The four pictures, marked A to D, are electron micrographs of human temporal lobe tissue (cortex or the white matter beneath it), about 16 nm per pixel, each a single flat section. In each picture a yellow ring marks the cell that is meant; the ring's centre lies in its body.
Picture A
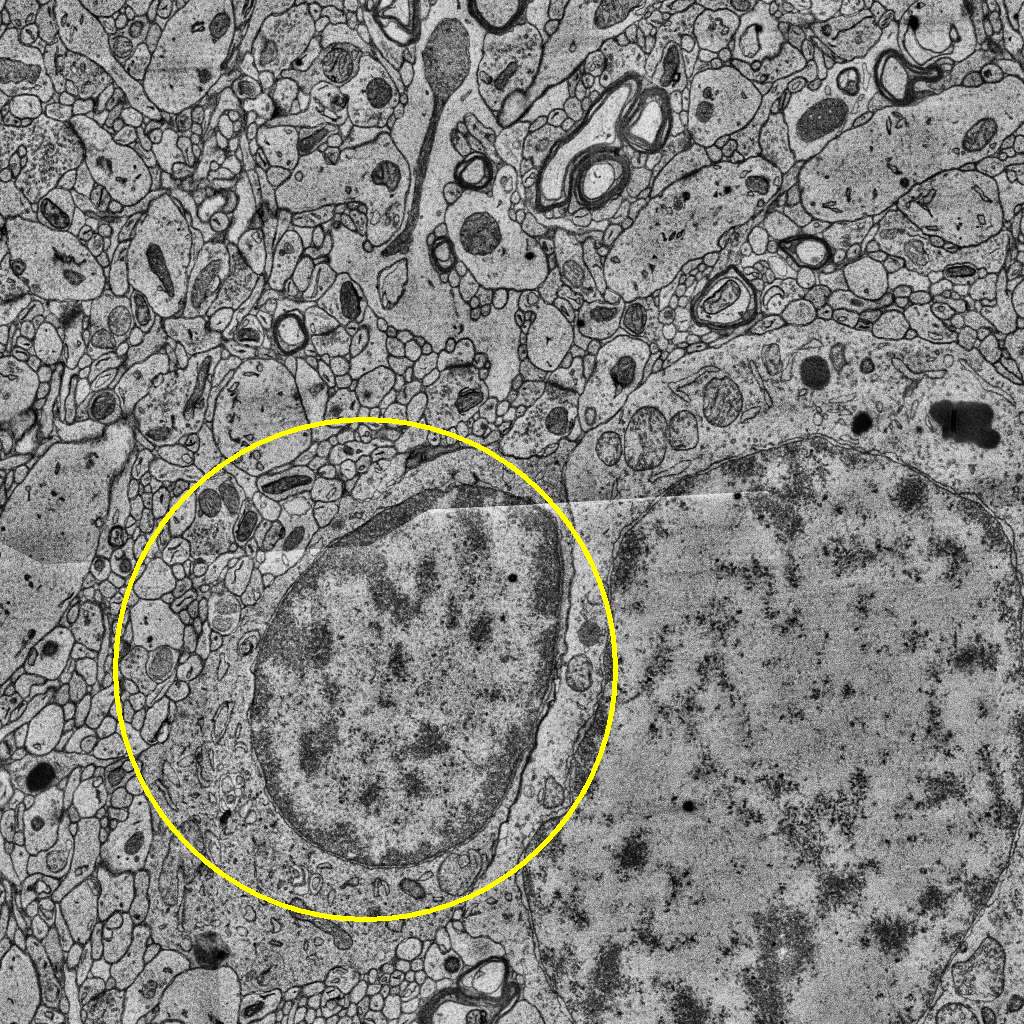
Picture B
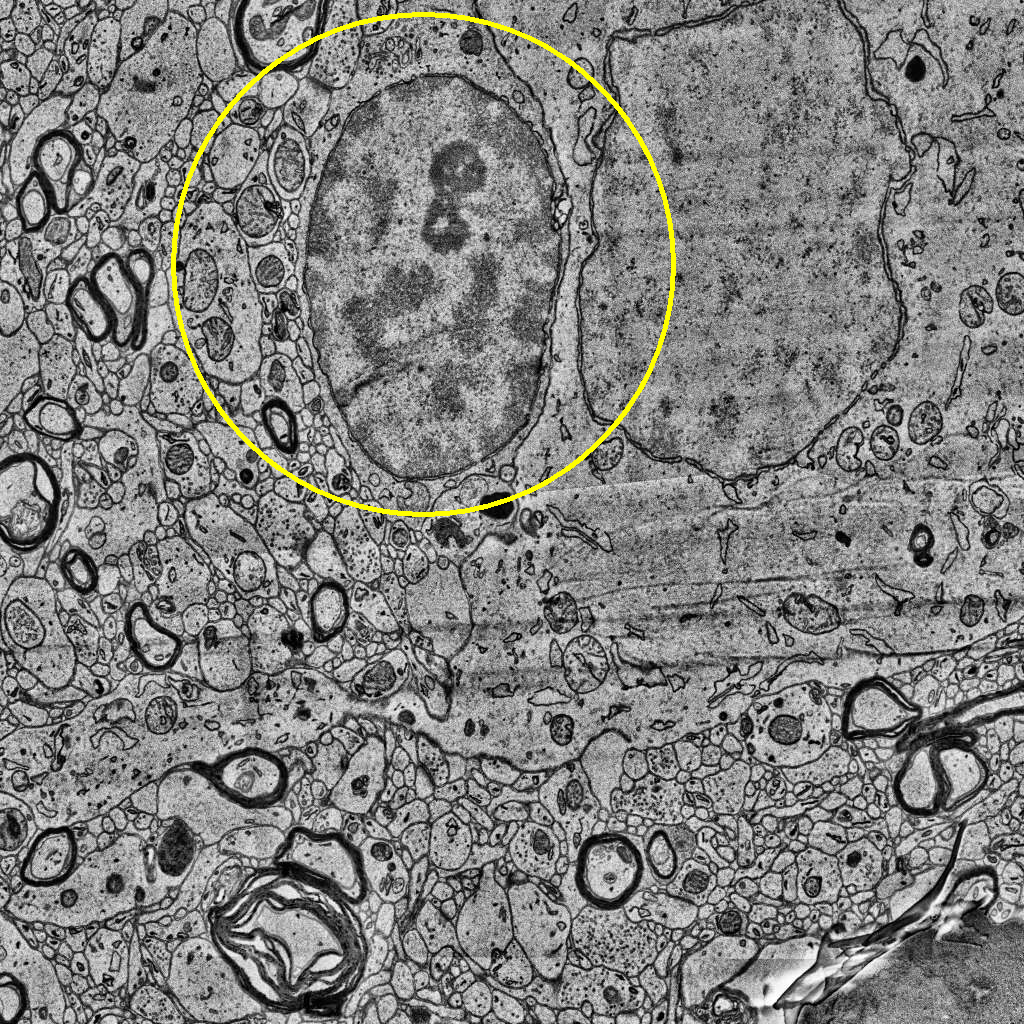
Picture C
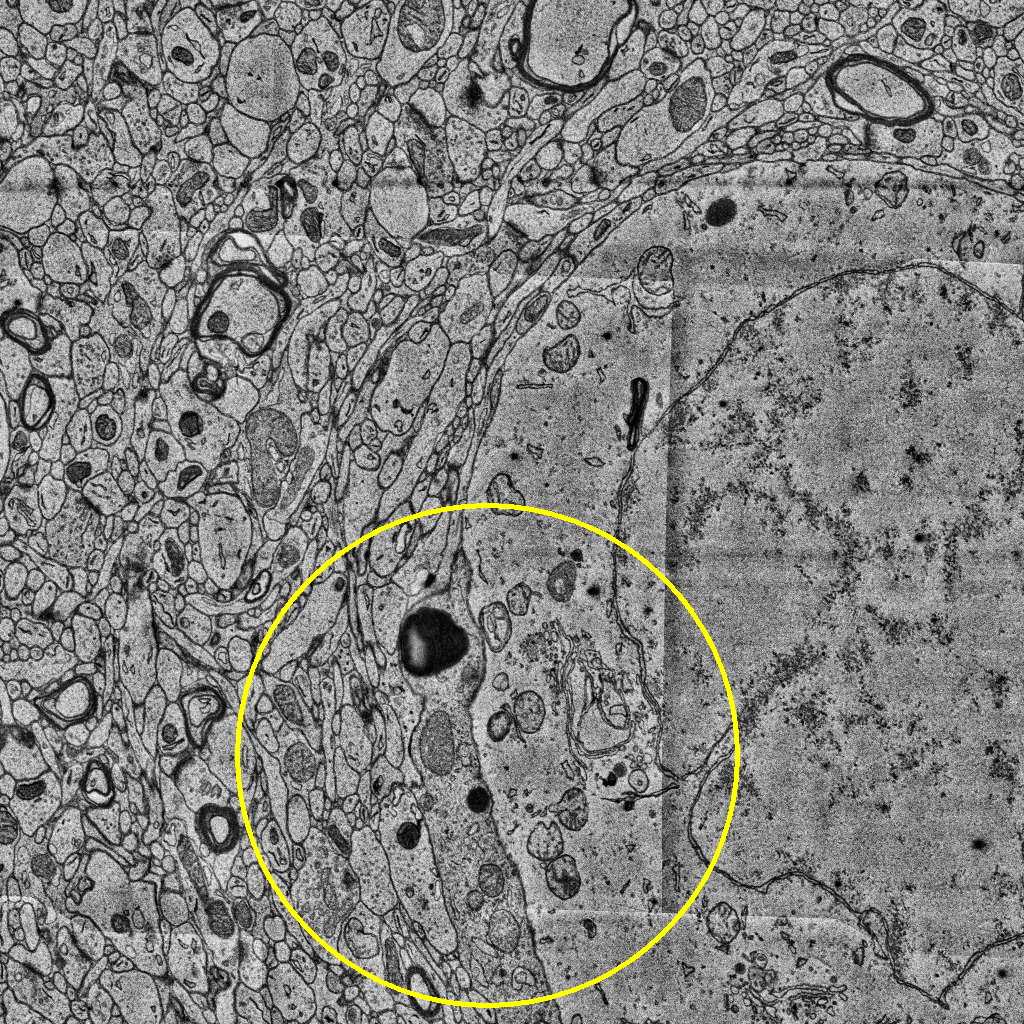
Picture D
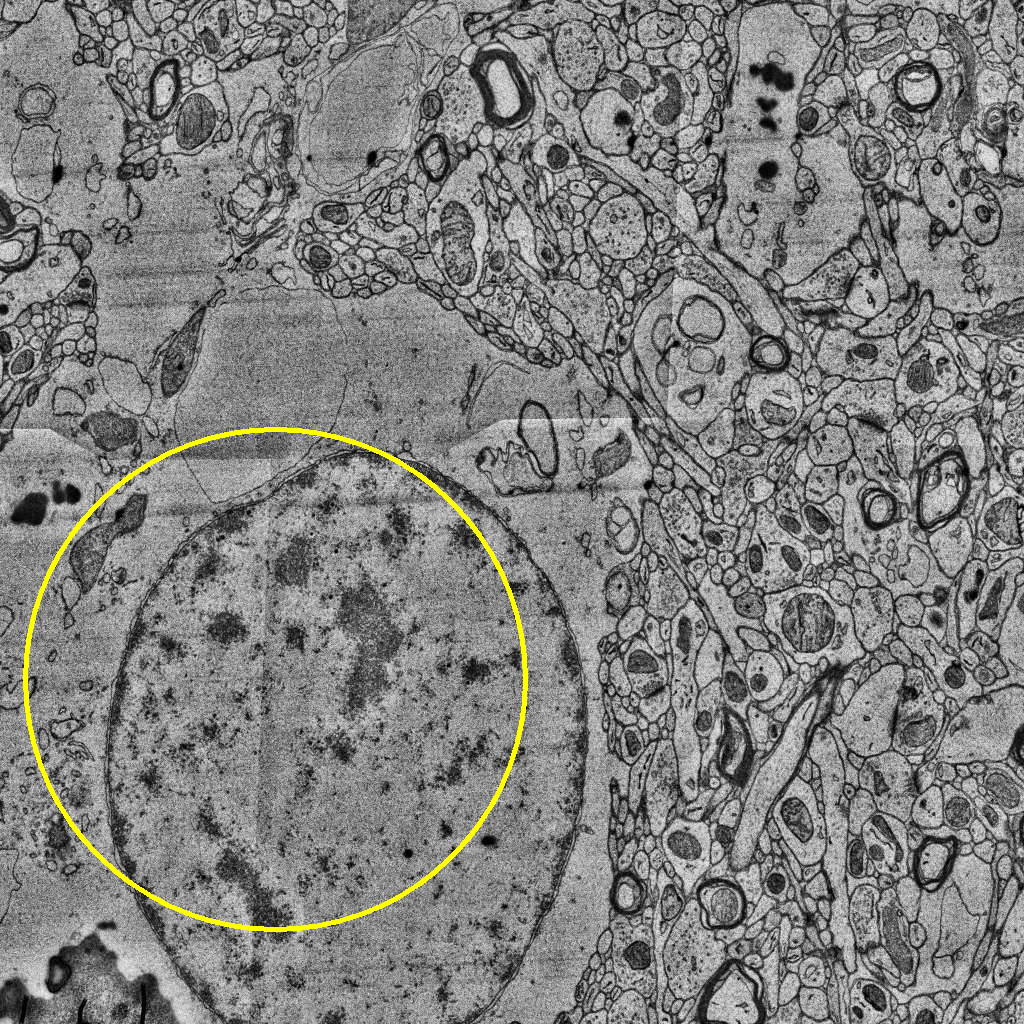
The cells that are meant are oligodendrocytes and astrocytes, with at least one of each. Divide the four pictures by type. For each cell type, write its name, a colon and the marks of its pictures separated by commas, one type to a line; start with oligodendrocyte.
oligodendrocyte: A, B, C
astrocyte: D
